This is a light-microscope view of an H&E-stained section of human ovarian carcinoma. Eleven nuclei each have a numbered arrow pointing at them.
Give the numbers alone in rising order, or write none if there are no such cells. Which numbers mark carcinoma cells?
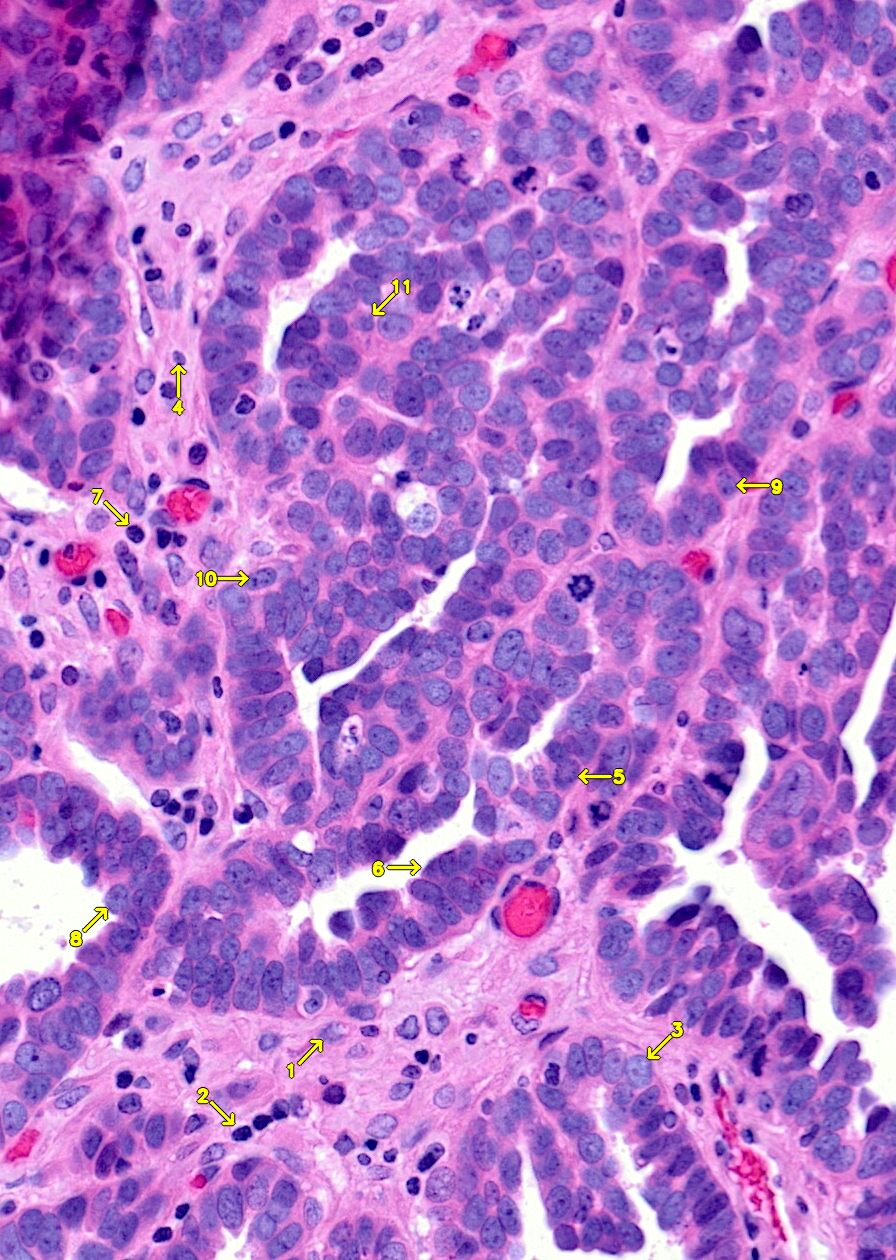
3, 5, 6, 8, 9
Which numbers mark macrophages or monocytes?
10, 11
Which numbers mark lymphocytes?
2, 4, 7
